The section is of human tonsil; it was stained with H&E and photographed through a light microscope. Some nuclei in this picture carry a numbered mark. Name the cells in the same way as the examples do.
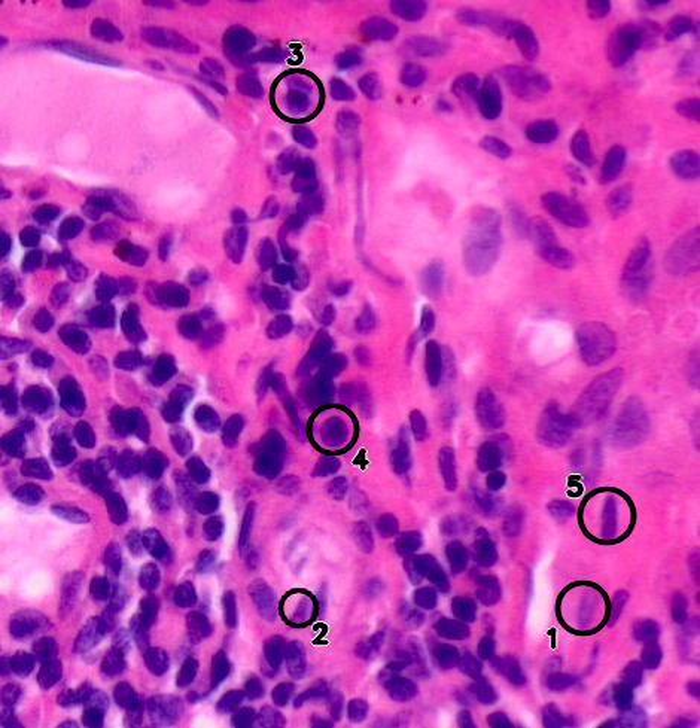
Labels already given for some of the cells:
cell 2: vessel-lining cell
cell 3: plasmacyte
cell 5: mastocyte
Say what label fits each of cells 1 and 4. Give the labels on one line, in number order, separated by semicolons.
vessel-lining cell; plasmacyte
